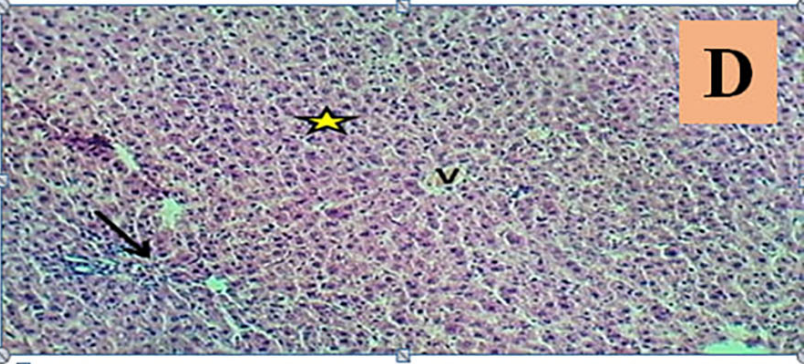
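Liver tissue with rows of pink hepatocytes with dark nuclei radiating from a small central vein. Toward one side there is a cluster of small dark-blue nuclei around vessel profiles, a portal triad. The hepatocyte rows around the vein look regularly arranged.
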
